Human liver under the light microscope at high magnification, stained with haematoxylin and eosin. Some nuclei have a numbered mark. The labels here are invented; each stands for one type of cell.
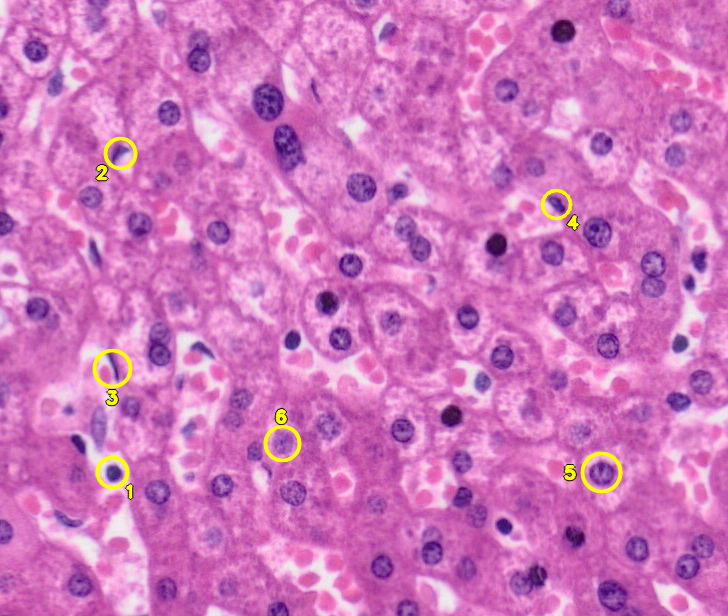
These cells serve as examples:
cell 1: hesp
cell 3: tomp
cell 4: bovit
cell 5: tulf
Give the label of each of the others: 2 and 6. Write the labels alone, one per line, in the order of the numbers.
tomp
tulf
